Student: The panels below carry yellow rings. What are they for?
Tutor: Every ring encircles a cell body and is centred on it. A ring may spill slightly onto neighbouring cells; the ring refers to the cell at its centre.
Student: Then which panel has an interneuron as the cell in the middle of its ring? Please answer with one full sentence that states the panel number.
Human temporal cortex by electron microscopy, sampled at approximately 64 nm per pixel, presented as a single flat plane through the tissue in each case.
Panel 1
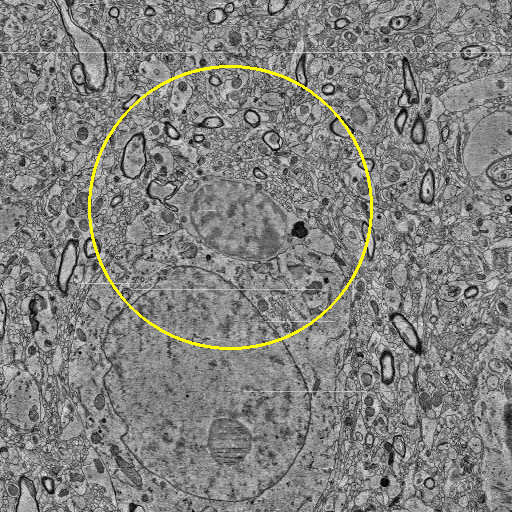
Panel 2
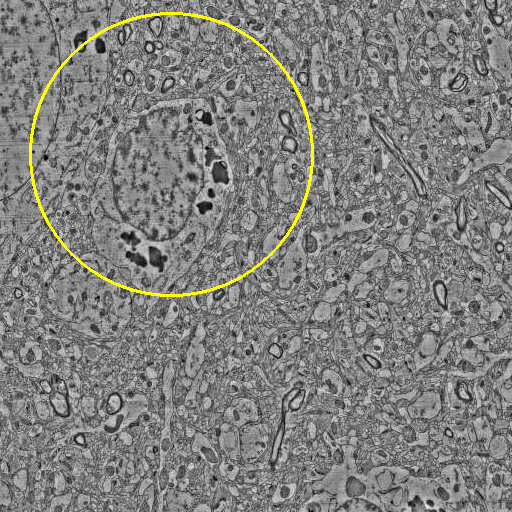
In Panel 2, the cell centred in the ring is the one sought.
